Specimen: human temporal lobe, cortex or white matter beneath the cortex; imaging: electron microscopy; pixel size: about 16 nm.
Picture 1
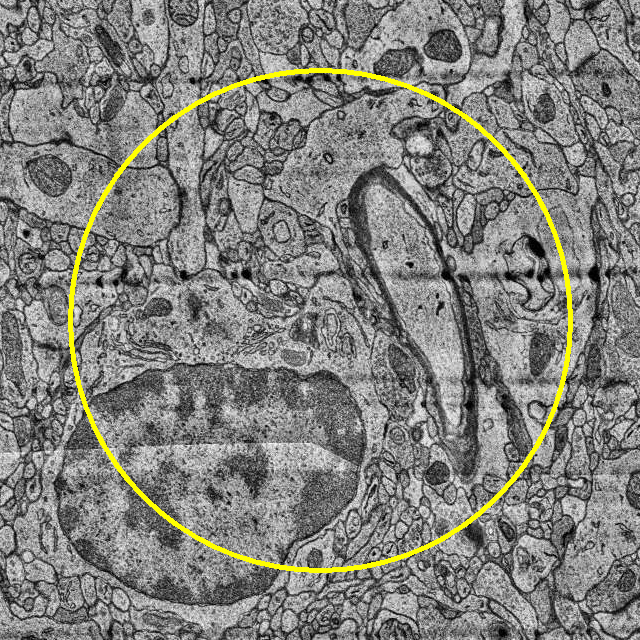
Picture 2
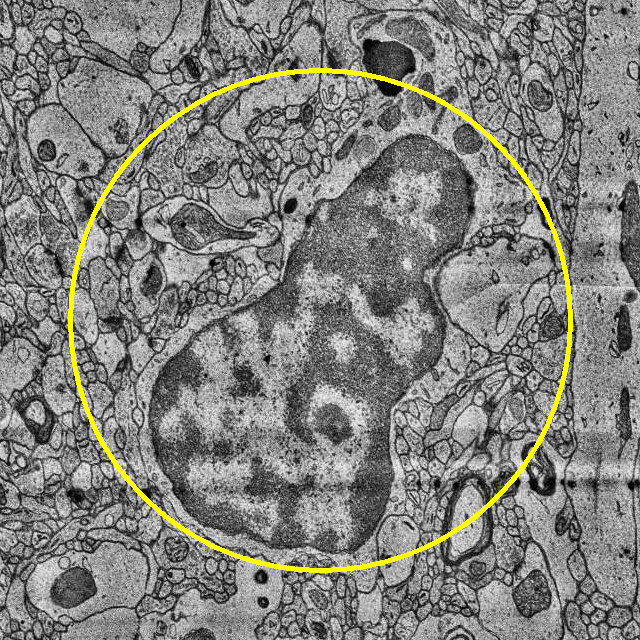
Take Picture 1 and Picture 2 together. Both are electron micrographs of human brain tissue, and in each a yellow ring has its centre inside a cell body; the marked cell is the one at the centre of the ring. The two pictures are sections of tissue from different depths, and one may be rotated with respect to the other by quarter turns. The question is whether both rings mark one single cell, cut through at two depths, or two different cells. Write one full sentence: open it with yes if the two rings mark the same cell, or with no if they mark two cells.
Yes, these two rings point to one cell rather than two.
